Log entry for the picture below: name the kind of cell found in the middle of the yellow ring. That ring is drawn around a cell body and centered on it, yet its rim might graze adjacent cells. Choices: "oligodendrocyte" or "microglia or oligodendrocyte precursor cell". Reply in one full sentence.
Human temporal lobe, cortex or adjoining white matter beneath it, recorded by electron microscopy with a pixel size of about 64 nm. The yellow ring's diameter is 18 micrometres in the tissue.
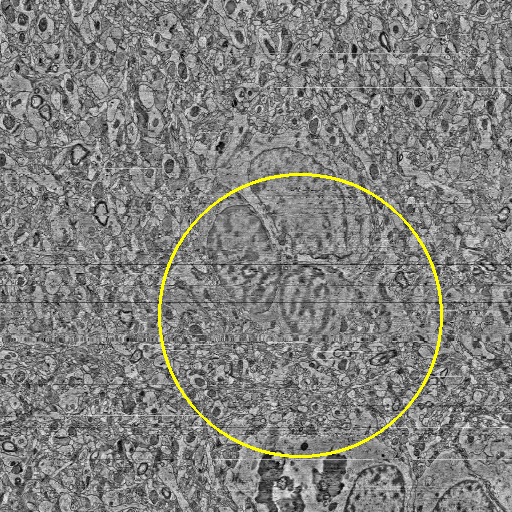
The cell in the middle of the yellow ring in this picture is an oligodendrocyte.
